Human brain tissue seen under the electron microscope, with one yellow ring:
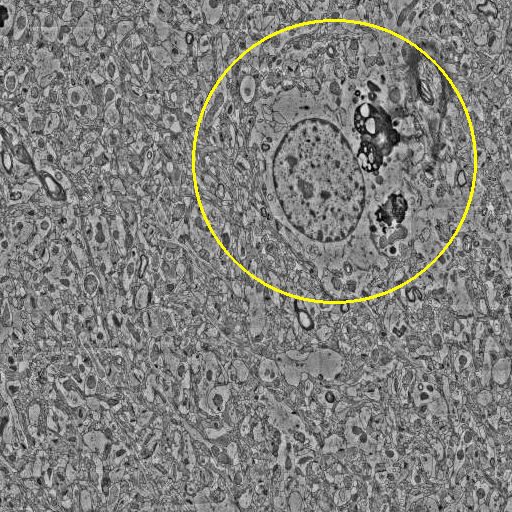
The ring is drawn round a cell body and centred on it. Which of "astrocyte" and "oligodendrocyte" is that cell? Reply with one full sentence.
The picture shows an astrocyte at the very centre of the yellow ring.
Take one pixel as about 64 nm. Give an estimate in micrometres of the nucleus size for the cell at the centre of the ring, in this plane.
In this plane, about 8 micrometres in length and 6 in width.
